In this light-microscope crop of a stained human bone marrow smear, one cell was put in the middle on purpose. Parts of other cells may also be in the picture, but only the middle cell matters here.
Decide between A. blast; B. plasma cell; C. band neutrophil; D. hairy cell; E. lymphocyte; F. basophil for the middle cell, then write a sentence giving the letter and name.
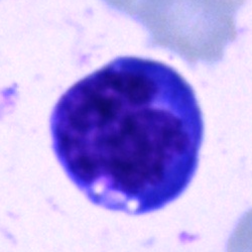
Option A is correct here, and the cell in the middle is a blast.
